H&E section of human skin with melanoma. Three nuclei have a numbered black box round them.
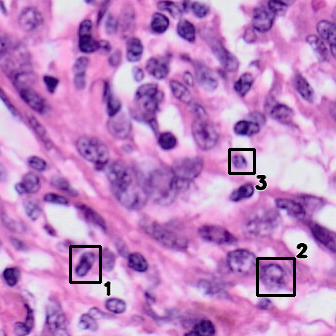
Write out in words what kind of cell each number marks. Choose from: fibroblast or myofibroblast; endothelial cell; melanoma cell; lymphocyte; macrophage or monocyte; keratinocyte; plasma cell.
Cells 1 and 3 are lymphocytes. Cell 2 is a melanoma cell.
